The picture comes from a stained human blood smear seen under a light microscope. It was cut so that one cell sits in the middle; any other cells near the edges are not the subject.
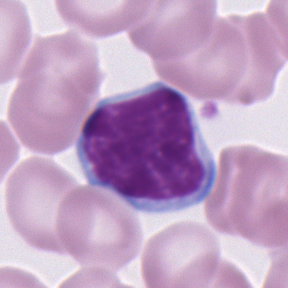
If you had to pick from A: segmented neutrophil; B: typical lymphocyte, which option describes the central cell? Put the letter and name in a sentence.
Option B is the correct option, with the middle cell being a typical lymphocyte.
